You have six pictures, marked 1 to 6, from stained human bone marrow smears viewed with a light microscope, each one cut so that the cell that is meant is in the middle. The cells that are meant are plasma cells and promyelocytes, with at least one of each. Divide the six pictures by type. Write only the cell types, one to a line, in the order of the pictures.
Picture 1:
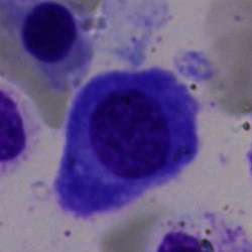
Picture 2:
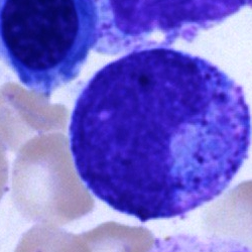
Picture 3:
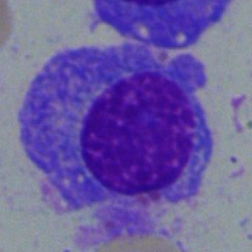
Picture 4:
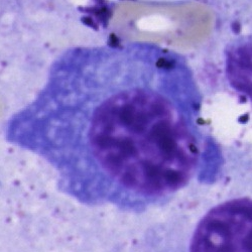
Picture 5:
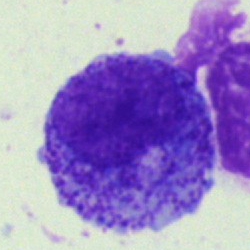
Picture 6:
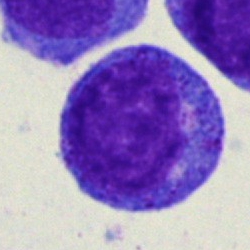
plasma cell
promyelocyte
plasma cell
plasma cell
promyelocyte
promyelocyte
